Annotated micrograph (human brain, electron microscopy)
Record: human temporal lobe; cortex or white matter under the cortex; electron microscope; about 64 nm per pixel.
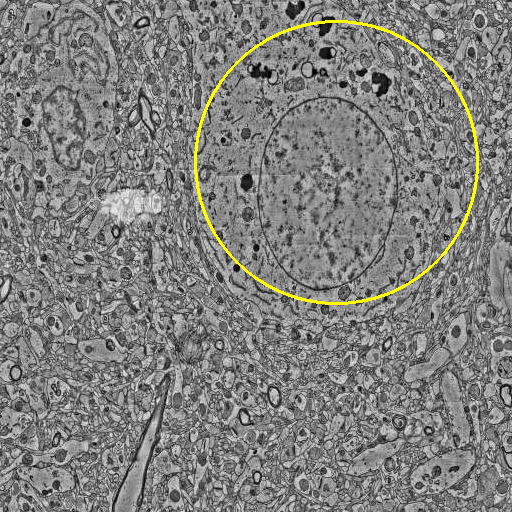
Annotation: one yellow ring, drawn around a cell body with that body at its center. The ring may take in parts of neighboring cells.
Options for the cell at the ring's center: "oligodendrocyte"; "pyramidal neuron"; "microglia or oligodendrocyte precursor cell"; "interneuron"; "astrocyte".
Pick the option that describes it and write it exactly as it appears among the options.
pyramidal neuron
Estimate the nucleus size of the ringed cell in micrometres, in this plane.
About 12 by 9 micrometres in this plane.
